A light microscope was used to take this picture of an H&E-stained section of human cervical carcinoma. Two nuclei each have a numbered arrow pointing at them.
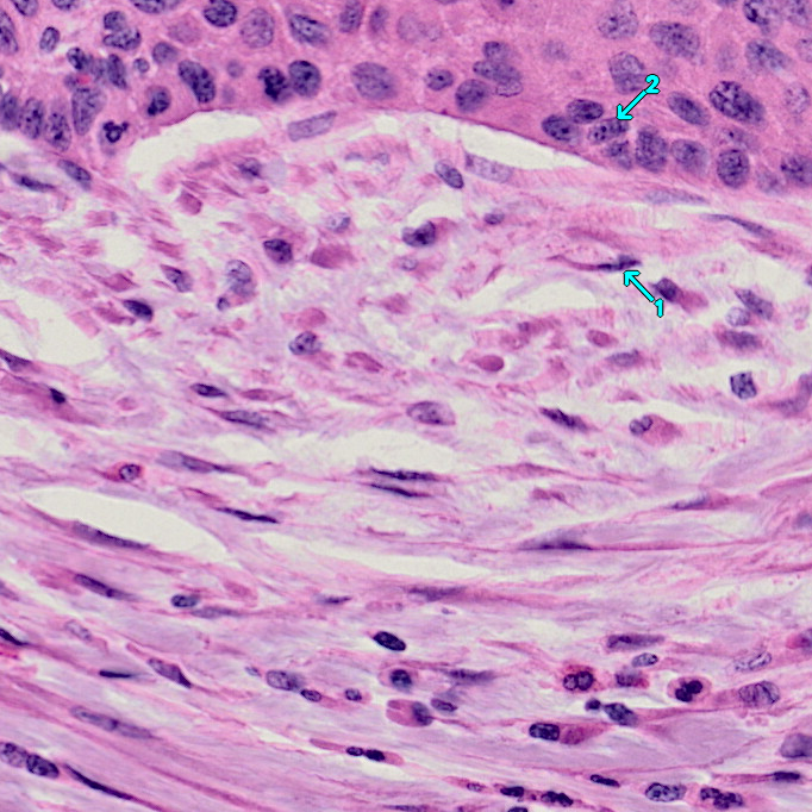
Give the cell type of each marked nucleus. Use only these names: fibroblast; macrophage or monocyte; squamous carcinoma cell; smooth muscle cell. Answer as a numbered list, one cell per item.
1. fibroblast
2. squamous carcinoma cell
